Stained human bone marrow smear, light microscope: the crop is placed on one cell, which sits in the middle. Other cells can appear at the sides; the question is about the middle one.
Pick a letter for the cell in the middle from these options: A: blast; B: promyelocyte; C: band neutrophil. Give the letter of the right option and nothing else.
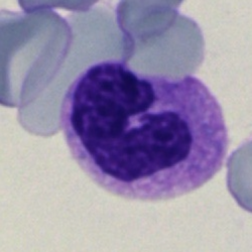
C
